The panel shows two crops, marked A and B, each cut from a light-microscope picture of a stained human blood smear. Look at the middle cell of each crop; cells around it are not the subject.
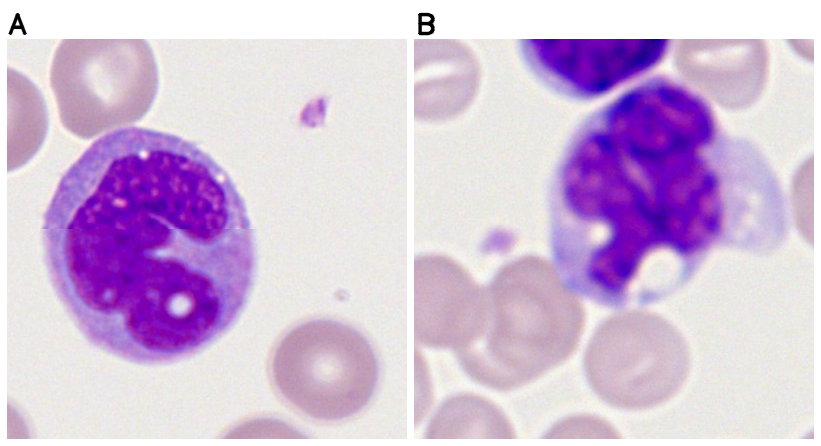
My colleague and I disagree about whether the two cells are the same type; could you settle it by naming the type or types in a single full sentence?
Yes, monocytes occupy the centre of both crops.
